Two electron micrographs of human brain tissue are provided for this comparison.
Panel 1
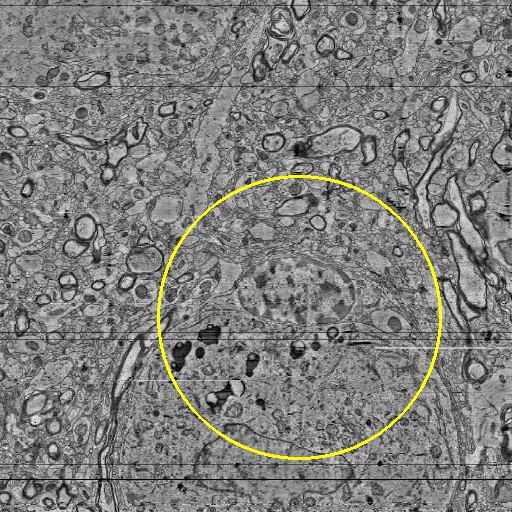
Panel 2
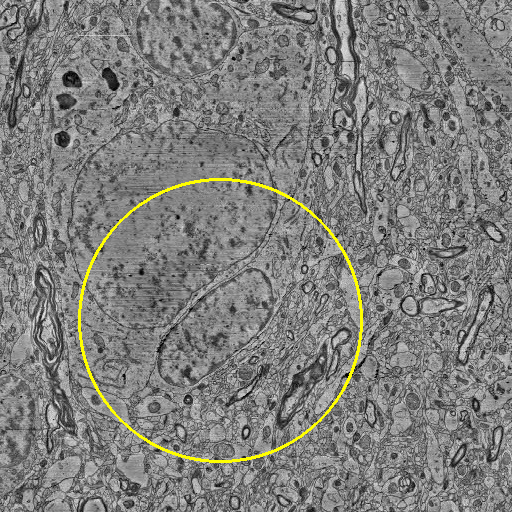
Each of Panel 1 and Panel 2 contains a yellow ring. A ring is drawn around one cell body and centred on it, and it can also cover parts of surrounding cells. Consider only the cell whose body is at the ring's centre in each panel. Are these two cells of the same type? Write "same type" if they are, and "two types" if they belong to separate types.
same type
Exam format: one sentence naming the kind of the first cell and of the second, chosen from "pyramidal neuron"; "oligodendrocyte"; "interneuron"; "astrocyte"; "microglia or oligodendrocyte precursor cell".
In both pictures the ring is centred on a microglial cell or oligodendrocyte precursor cell.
